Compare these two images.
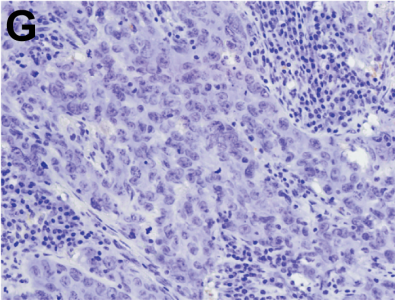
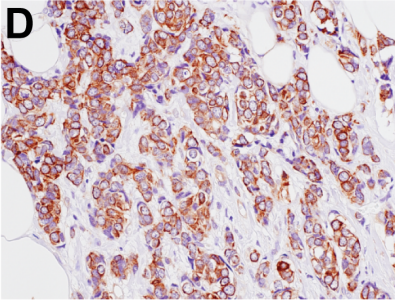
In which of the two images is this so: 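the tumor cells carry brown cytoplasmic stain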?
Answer: the second image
